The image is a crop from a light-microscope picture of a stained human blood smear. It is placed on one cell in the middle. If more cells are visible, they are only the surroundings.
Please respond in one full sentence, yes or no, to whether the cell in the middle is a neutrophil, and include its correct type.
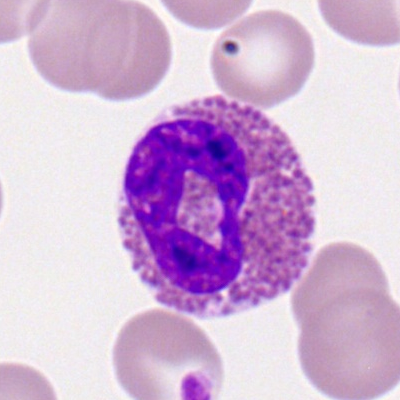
No, the central cell is an eosinophil; it should not be labelled a neutrophil.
